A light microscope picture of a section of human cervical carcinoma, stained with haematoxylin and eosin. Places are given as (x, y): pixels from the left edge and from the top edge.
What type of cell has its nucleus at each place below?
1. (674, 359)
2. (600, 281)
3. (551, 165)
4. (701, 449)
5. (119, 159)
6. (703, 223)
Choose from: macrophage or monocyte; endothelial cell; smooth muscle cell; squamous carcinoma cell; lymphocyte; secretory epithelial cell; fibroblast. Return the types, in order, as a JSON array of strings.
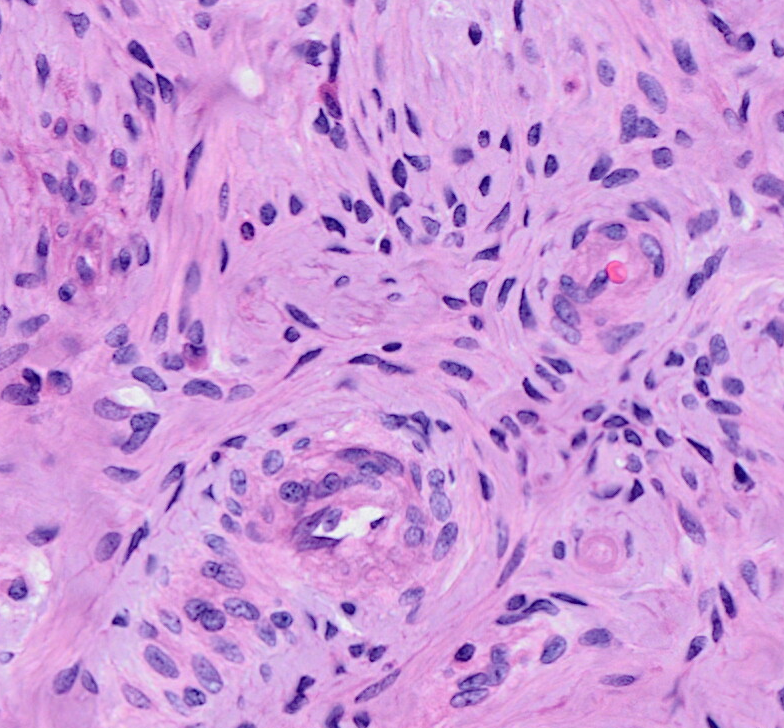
["fibroblast", "endothelial cell", "fibroblast", "fibroblast", "smooth muscle cell", "fibroblast"]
